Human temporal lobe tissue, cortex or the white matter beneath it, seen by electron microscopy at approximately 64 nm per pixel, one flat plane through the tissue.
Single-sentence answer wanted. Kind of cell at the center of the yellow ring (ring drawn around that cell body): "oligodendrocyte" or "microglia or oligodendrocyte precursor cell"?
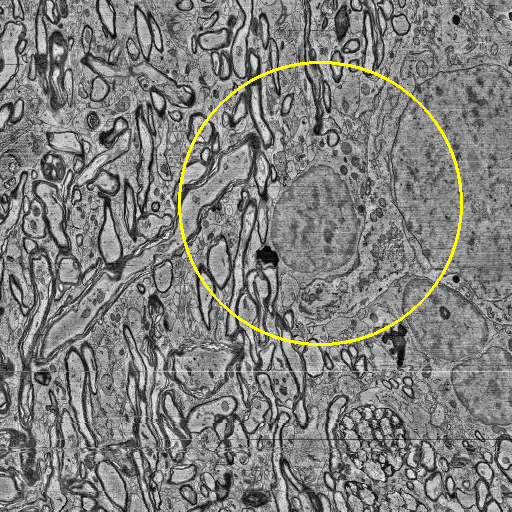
The cell centered in the ring is an oligodendrocyte.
